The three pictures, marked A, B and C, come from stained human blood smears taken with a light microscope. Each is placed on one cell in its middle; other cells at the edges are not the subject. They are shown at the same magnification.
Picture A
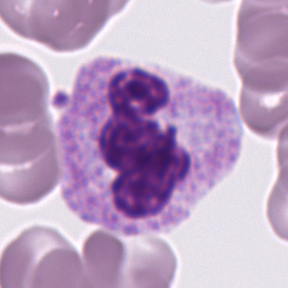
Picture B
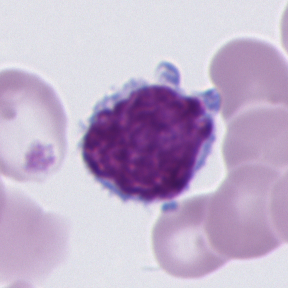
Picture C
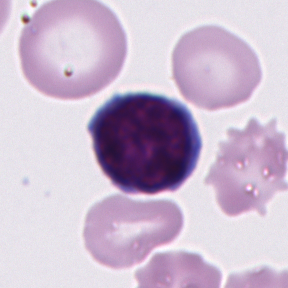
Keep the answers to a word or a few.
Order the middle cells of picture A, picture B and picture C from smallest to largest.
C, B, A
